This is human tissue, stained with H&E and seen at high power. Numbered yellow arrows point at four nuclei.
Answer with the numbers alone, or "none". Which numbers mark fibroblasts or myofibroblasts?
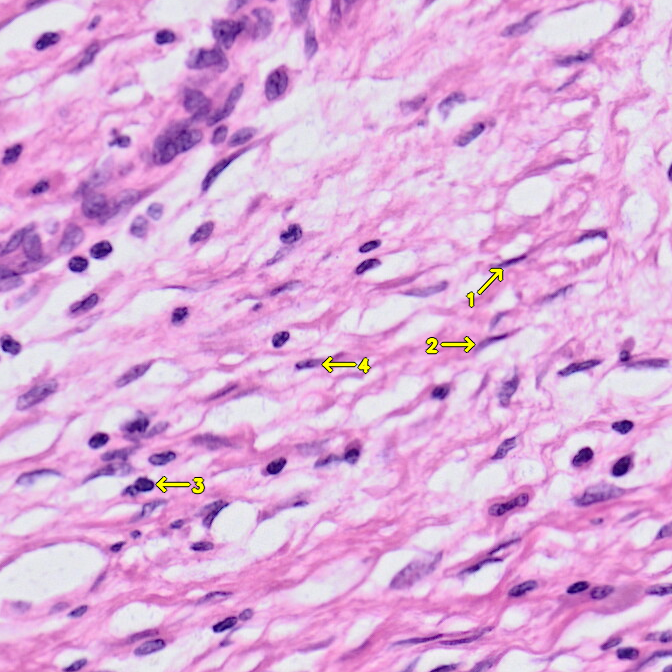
1, 2, 4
